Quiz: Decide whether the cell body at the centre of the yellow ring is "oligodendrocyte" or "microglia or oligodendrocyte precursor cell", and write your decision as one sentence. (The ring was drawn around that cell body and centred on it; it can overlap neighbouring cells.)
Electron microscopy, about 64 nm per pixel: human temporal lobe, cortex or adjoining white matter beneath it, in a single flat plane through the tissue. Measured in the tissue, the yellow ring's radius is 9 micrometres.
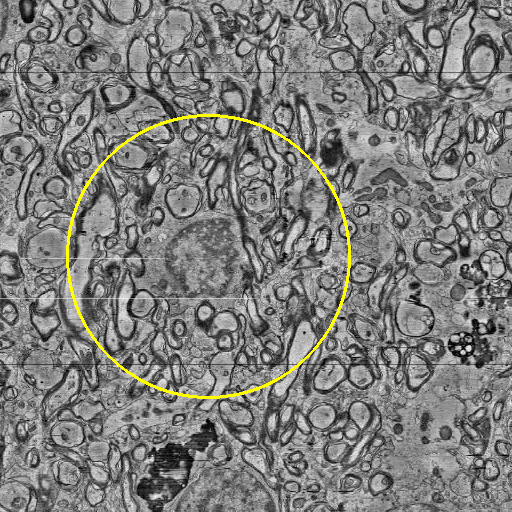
The cell the ring is centred on is an oligodendrocyte.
